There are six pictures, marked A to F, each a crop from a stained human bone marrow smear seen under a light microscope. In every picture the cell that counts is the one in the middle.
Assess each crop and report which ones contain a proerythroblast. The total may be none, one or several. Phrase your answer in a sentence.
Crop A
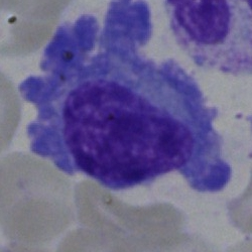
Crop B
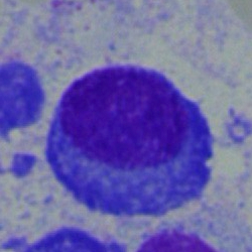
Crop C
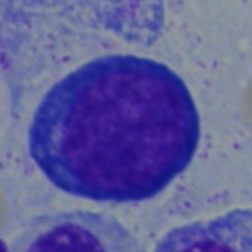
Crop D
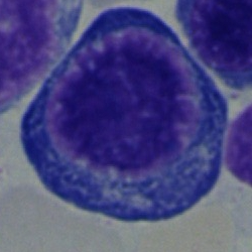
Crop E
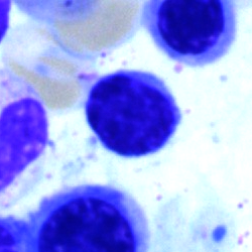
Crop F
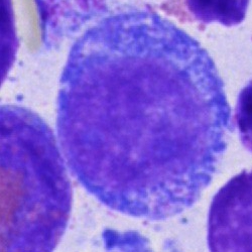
Here, the cells at the centre of crops C and D are proerythroblasts.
